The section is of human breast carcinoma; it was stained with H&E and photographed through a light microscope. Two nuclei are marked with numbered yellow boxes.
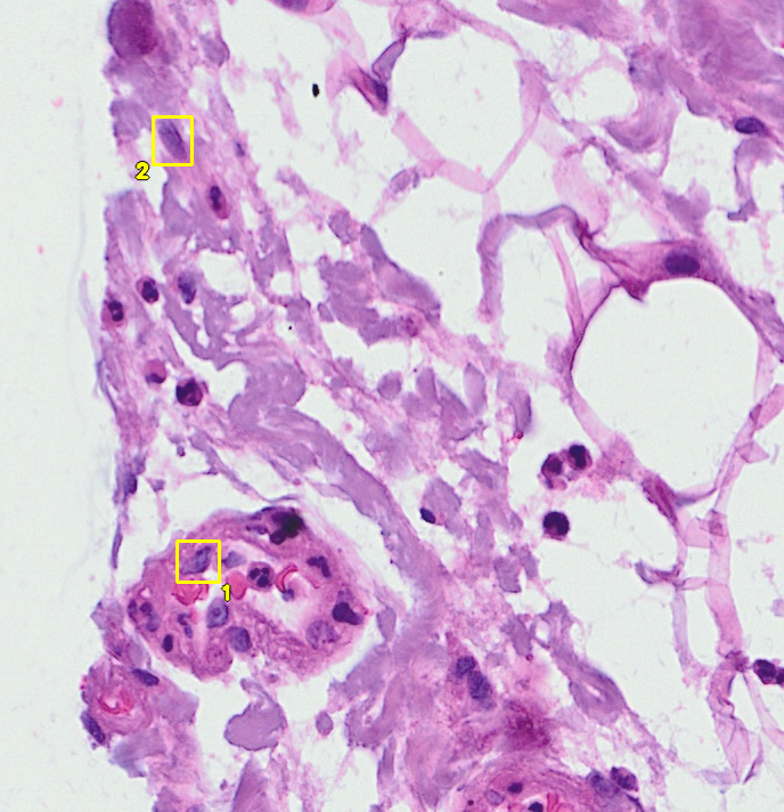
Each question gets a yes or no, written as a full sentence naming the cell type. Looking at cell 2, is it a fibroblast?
Yes, in this section the cell numbered 2 is a fibroblast.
